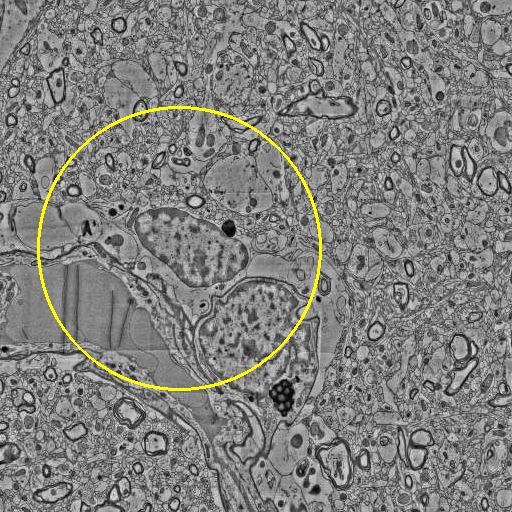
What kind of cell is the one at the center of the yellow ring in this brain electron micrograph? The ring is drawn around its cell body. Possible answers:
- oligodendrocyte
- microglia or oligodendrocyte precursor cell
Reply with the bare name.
microglia or oligodendrocyte precursor cell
